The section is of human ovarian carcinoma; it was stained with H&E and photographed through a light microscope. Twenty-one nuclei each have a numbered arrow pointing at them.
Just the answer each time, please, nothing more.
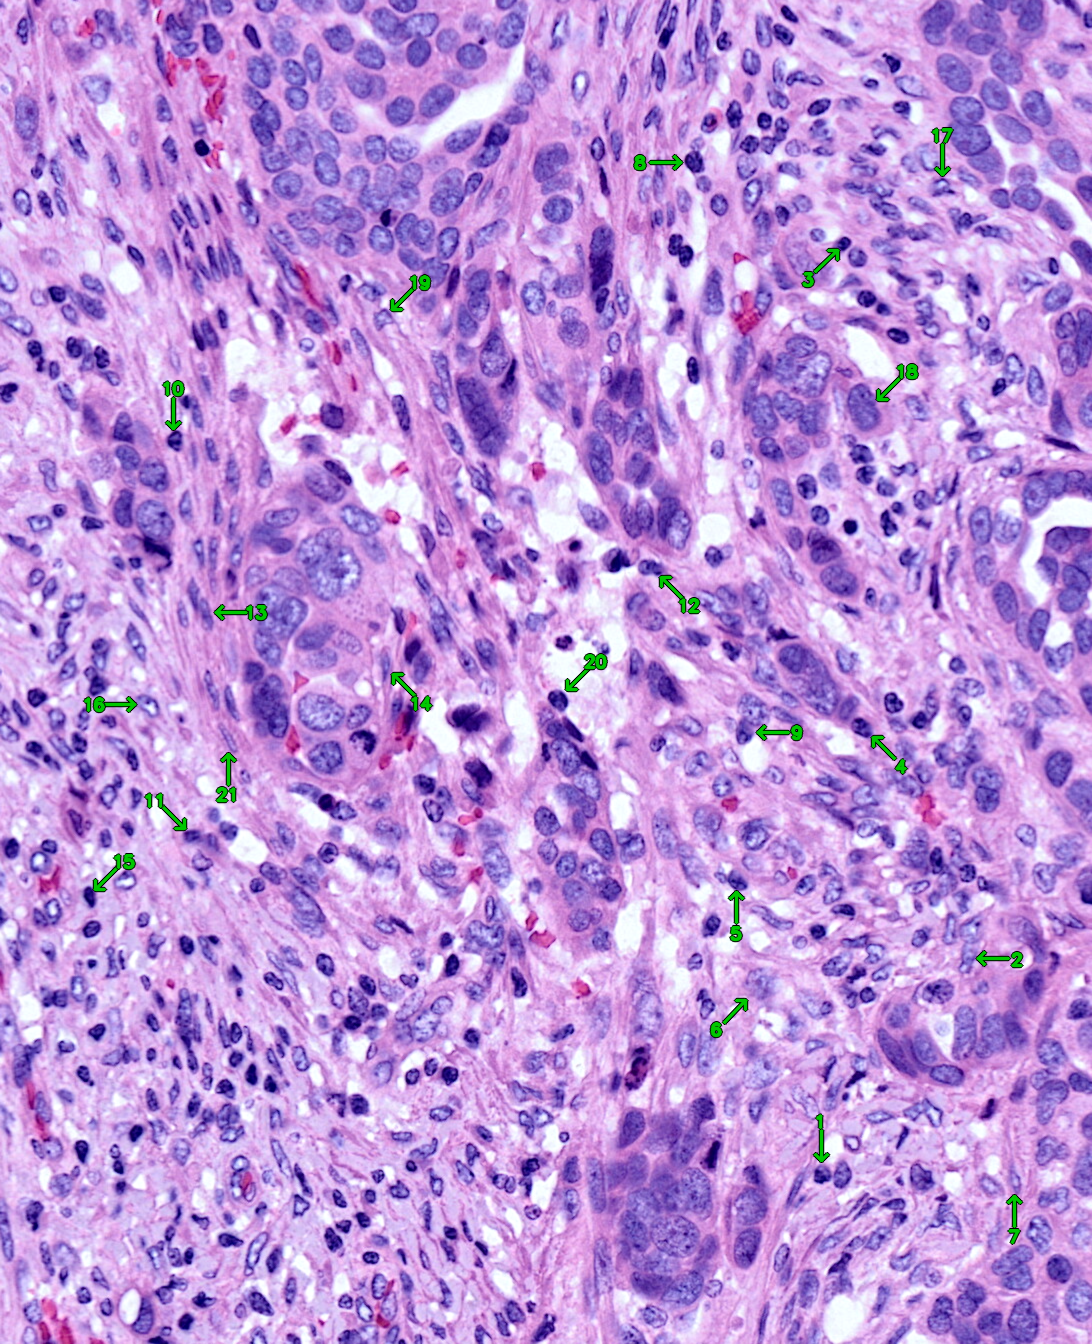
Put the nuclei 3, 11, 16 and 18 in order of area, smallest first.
3, 11, 16, 18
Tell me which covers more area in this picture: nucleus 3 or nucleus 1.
1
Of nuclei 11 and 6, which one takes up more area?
6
